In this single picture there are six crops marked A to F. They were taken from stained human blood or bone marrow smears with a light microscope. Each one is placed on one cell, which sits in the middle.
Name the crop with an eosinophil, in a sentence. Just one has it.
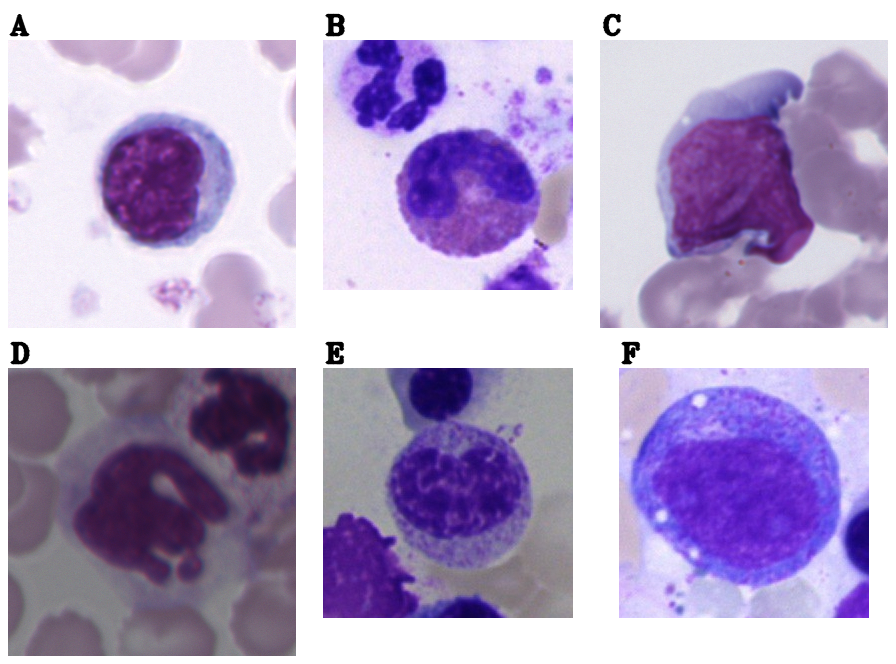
The sole crop showing an eosinophil is crop B.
